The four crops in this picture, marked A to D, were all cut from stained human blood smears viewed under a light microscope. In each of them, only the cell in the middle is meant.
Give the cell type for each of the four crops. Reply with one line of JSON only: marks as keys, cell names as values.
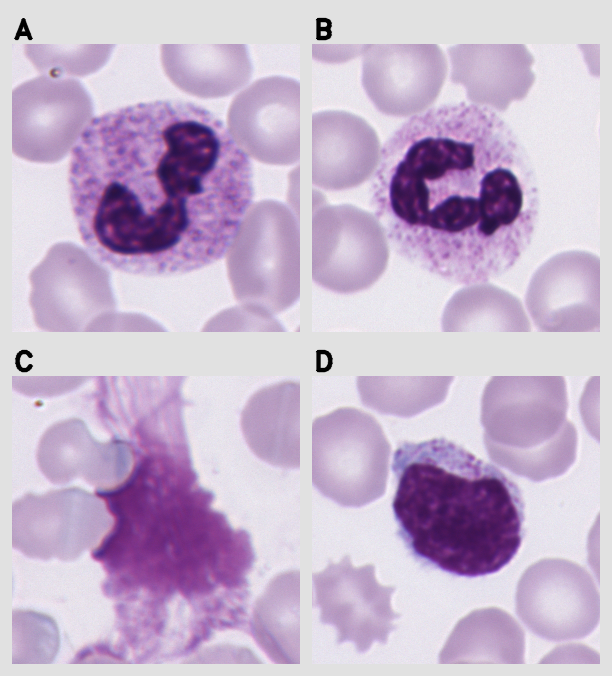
{"A": "segmented neutrophil", "B": "segmented neutrophil", "C": "smudge cell", "D": "large granular lymphocyte"}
